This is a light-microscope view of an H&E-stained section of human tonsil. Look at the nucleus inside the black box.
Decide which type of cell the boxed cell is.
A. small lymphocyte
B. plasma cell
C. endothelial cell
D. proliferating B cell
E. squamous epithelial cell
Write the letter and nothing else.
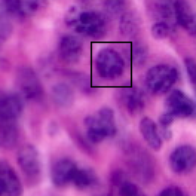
B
